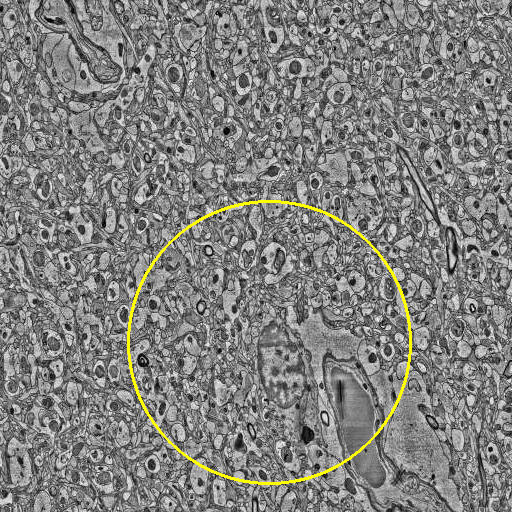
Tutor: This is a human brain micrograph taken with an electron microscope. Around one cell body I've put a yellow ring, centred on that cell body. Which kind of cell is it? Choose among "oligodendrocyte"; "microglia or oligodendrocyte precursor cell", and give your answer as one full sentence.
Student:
Going by your list, the cell centred in the yellow ring is an oligodendrocyte.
